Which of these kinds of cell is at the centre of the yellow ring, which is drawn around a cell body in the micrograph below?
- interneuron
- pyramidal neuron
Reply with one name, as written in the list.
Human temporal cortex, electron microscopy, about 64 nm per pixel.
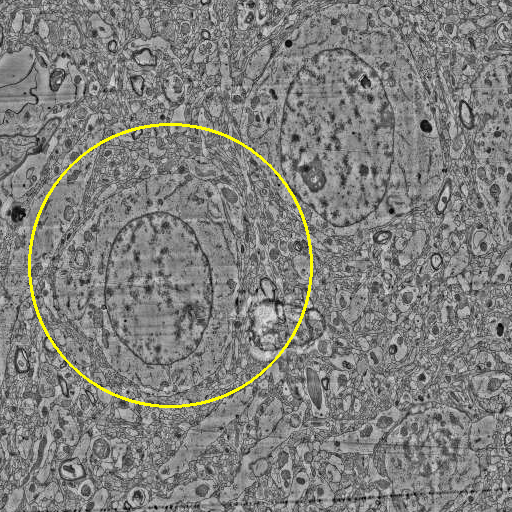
pyramidal neuron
